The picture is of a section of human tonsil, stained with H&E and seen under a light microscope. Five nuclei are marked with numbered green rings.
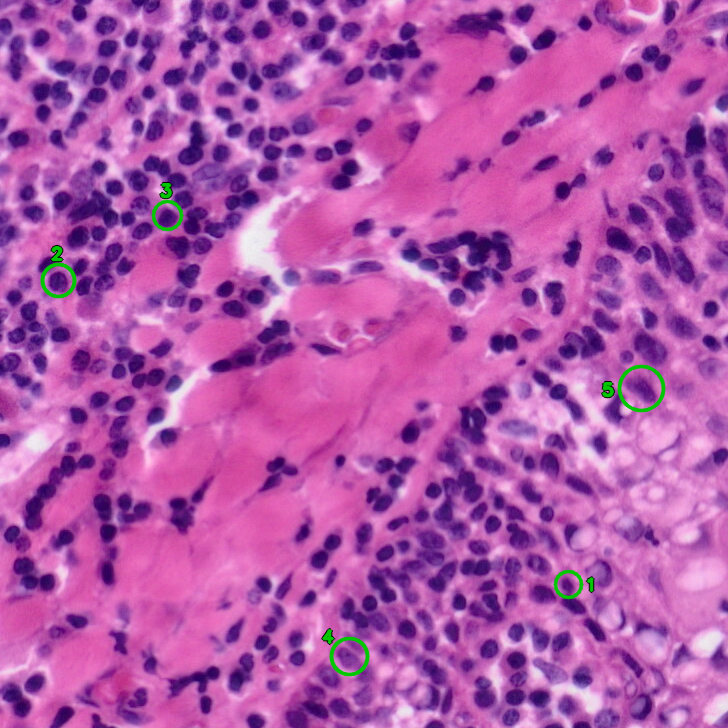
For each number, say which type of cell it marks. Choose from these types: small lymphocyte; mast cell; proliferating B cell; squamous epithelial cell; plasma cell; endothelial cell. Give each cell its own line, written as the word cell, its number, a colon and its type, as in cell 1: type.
cell 1: squamous epithelial cell
cell 2: plasma cell
cell 3: plasma cell
cell 4: squamous epithelial cell
cell 5: squamous epithelial cell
